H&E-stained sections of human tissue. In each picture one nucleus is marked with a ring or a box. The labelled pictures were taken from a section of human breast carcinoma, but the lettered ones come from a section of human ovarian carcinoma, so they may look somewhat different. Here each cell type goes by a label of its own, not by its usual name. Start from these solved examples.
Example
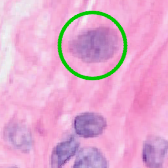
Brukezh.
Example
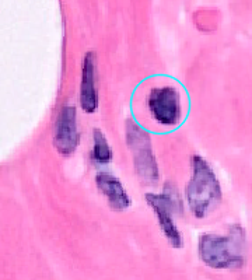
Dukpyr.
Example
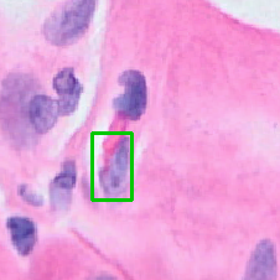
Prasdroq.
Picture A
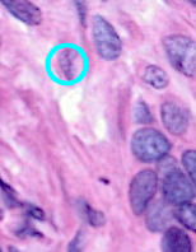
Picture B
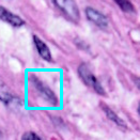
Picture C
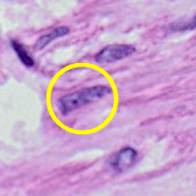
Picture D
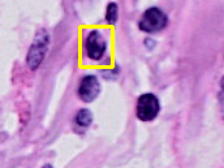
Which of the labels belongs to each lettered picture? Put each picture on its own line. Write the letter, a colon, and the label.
A: Brukezh.
B: Brukezh.
C: Brukezh.
D: Dukpyr.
